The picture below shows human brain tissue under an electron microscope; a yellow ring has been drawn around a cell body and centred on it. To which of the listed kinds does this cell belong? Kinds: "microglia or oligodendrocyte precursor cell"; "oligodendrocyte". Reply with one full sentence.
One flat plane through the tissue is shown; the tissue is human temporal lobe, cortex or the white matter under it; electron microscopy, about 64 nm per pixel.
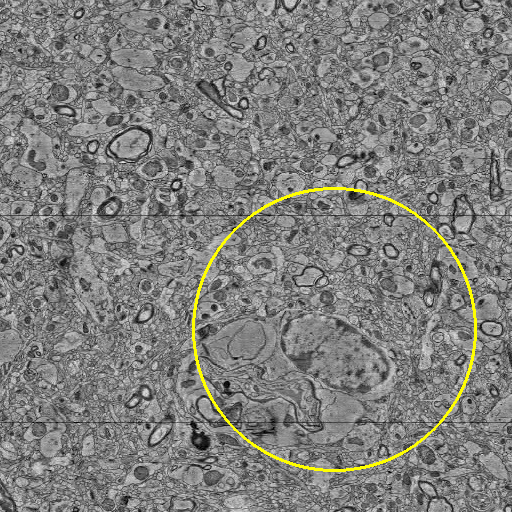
It is a microglial cell or oligodendrocyte precursor cell that the yellow ring in the picture is centred on.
